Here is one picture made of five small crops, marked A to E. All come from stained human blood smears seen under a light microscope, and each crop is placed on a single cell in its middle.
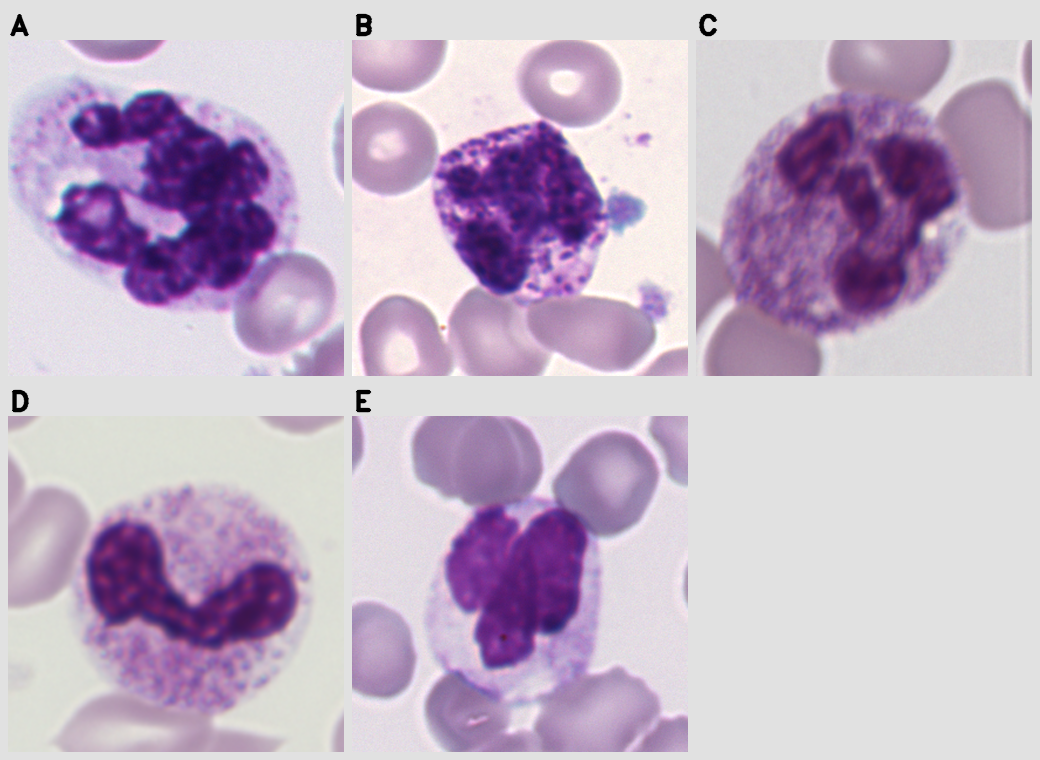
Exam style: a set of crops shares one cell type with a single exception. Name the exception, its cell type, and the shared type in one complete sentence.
Crop B alone shows a basophil; the other crops are all neutrophils.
